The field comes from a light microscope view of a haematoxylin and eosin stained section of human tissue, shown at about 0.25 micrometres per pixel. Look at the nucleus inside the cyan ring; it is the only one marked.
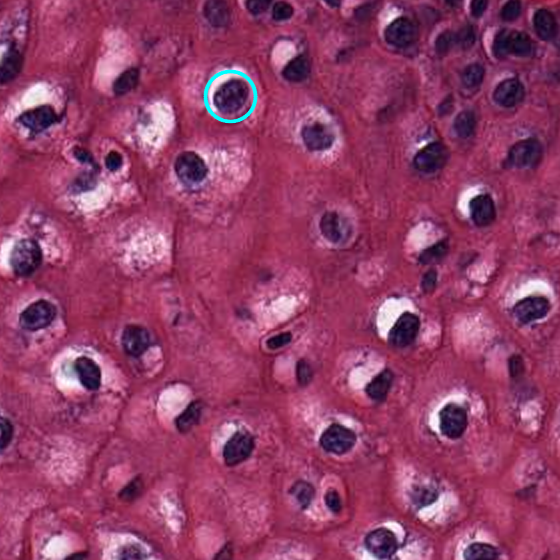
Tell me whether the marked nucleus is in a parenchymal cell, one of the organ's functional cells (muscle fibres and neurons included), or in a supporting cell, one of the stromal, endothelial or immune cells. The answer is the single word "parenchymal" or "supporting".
parenchymal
